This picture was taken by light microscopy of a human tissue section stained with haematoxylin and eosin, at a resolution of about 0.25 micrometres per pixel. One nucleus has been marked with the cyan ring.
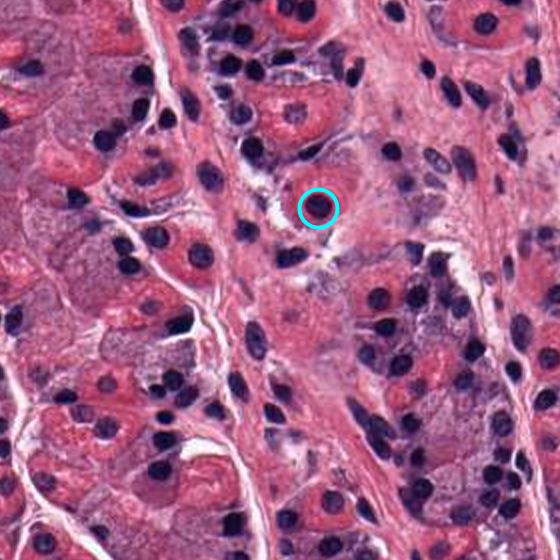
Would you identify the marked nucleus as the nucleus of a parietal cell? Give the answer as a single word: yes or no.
yes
